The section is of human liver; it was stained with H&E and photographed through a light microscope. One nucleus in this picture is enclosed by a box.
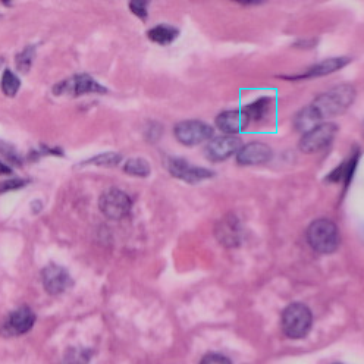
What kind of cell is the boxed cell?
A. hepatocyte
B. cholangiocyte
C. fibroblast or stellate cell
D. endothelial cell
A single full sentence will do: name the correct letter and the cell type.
Option B properly identifies the boxed cell as a cholangiocyte.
